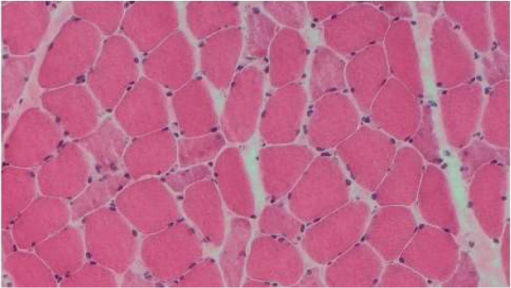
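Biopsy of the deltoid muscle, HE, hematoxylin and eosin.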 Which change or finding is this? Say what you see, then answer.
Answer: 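The polygonal muscle fibers in cross-section differ clearly in diameter. Small fibers lie between much larger ones. So: increased fiber size variation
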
